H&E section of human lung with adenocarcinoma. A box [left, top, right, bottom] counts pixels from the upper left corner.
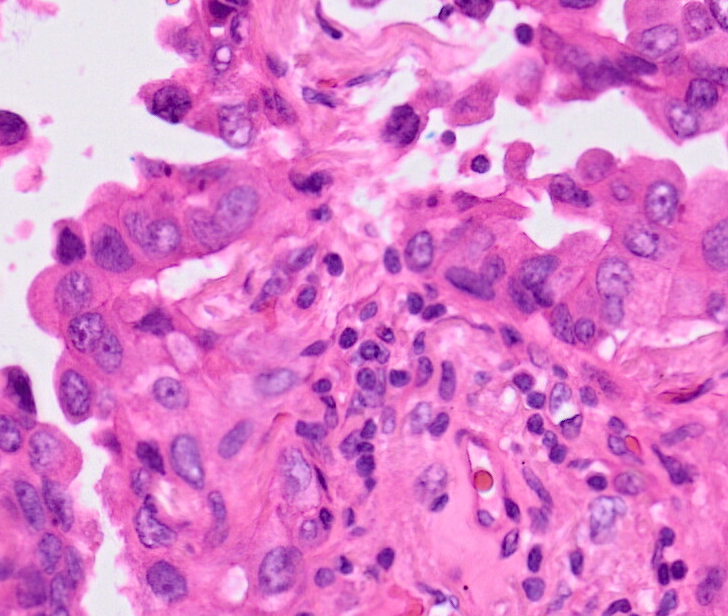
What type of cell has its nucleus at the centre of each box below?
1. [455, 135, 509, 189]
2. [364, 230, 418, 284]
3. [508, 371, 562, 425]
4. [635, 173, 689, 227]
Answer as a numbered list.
1. lymphocyte
2. lymphocyte
3. lymphocyte
4. carcinoma cell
